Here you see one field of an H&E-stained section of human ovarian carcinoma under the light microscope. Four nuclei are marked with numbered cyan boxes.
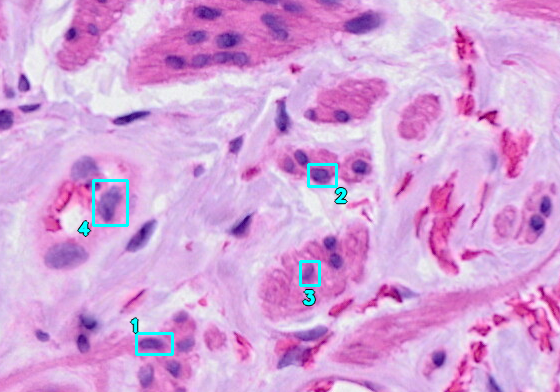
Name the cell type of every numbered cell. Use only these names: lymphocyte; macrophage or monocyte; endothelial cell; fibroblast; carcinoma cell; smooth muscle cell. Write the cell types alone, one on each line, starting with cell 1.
smooth muscle cell
smooth muscle cell
smooth muscle cell
endothelial cell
